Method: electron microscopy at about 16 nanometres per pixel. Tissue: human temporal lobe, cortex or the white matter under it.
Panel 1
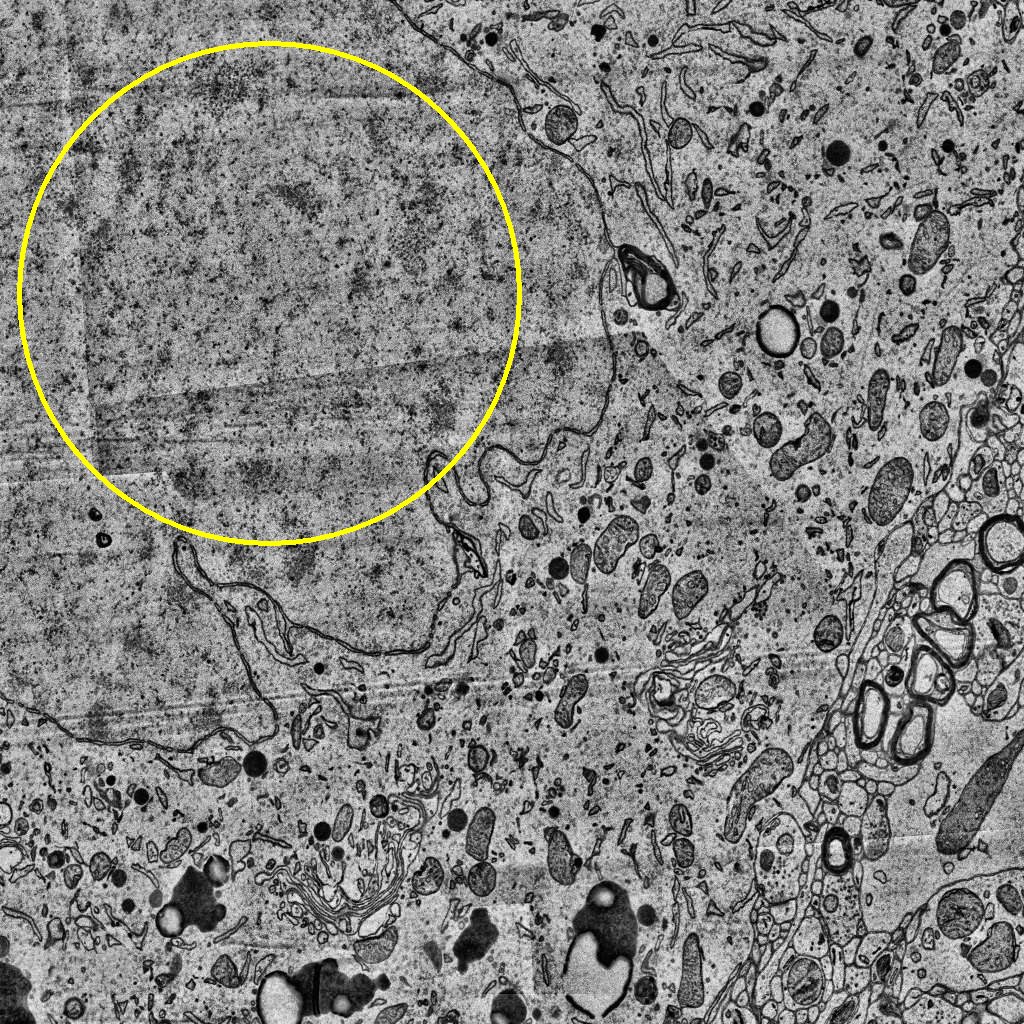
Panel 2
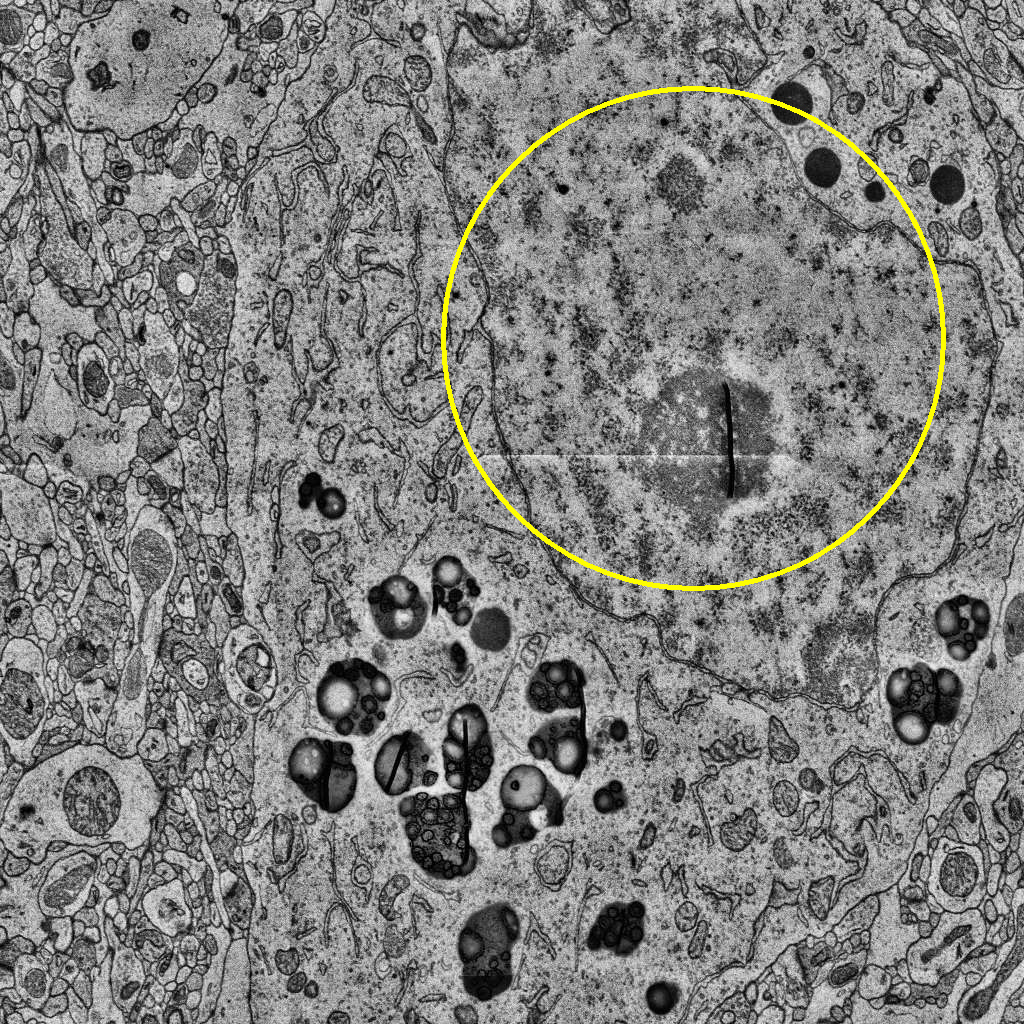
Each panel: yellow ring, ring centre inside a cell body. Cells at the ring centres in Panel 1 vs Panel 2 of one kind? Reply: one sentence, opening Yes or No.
No, Panel 1 and Panel 2 have cells of two kinds at the ring centres.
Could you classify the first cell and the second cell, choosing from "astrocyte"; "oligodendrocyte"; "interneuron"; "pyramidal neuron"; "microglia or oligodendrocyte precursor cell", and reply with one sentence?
The first of the two cells is a pyramidal neuron, and the second is an interneuron.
